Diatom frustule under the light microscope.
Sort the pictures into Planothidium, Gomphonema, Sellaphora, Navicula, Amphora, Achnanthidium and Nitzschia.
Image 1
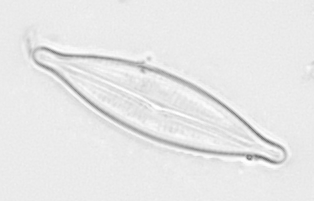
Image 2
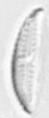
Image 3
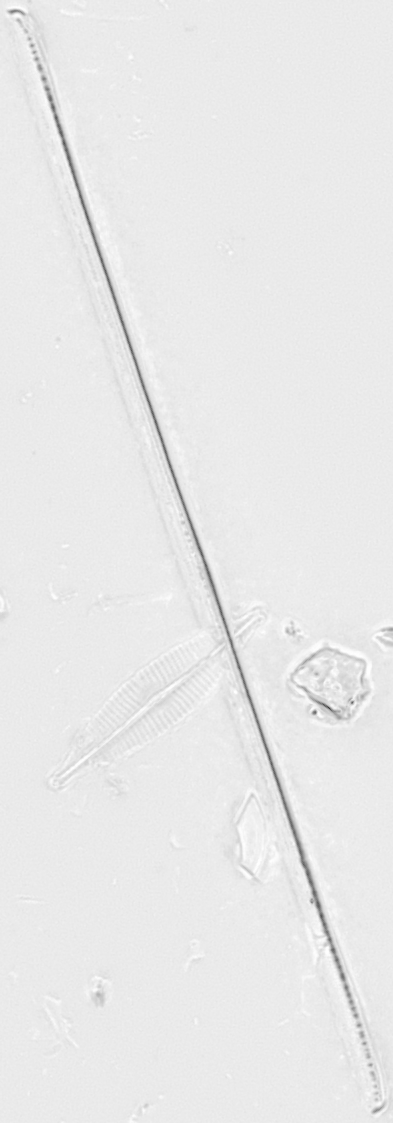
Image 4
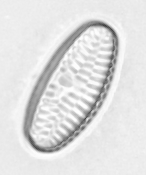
Navicula: 1
Amphora: 2
Nitzschia: 3
Planothidium: 4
